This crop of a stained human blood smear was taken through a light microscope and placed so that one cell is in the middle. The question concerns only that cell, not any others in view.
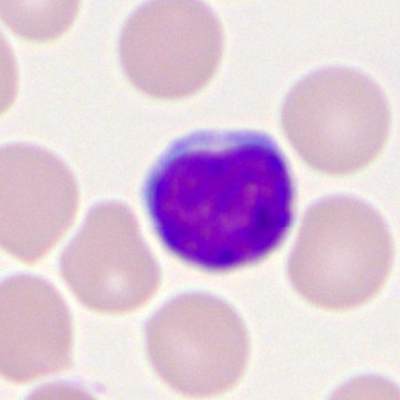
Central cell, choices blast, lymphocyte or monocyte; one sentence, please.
The centrally located cell in the crop is a lymphocyte.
